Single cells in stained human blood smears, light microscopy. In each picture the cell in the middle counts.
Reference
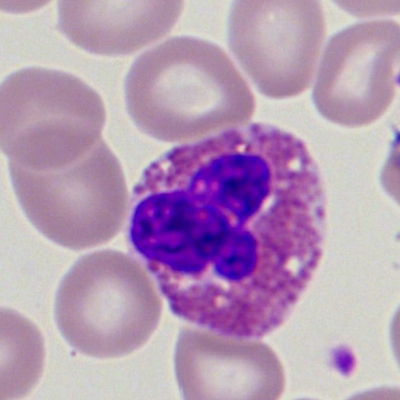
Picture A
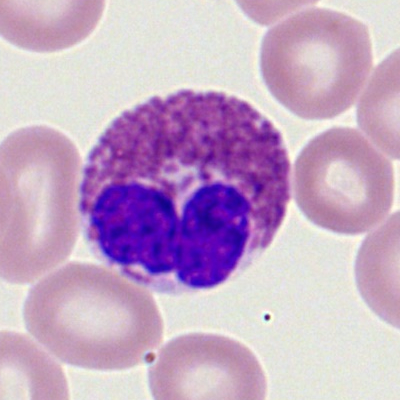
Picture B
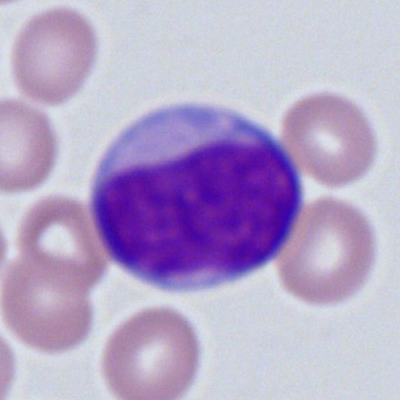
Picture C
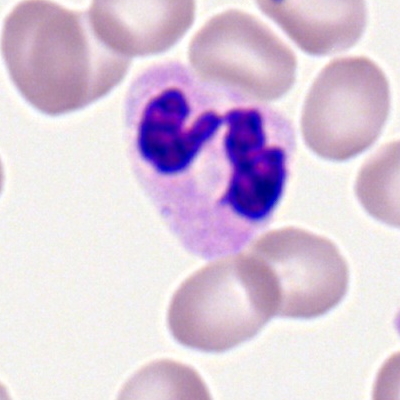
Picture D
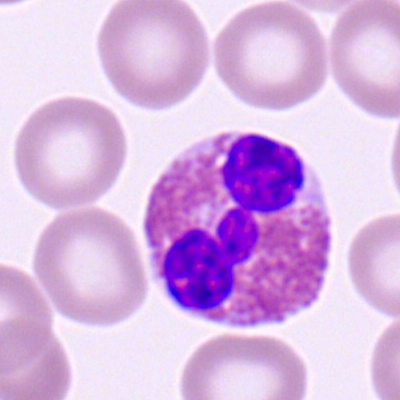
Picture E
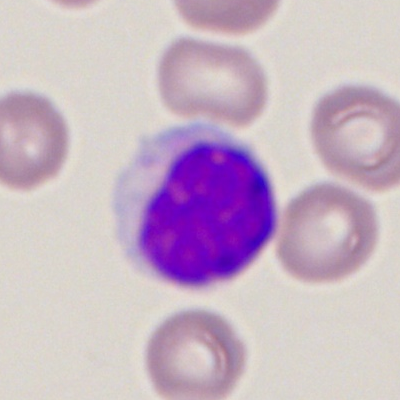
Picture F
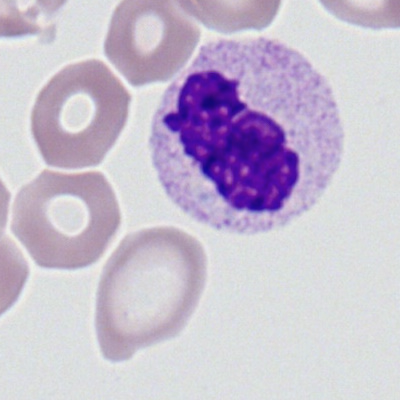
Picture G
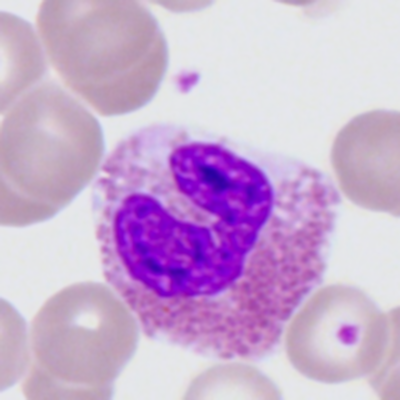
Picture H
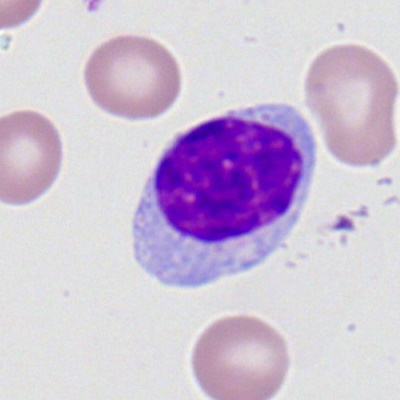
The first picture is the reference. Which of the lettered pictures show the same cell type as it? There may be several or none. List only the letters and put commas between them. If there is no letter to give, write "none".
A, D, G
